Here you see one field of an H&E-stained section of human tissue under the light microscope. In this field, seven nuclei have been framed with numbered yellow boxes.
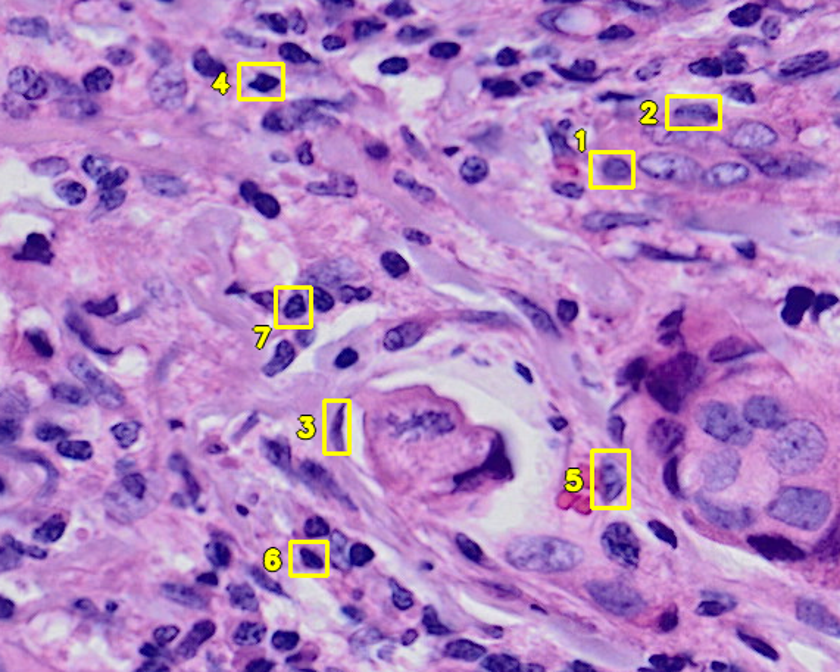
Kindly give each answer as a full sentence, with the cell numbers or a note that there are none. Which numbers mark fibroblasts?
Cell 3 is a fibroblast and is the only numbered cell of that kind.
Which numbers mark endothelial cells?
The cells marked with the numbers 1, 2 and 5 are endothelial cells.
